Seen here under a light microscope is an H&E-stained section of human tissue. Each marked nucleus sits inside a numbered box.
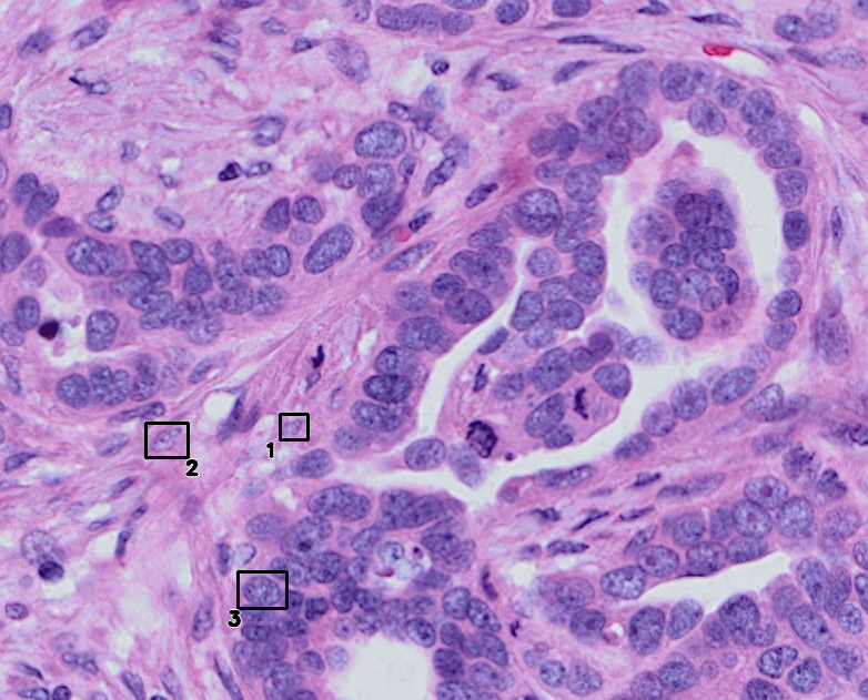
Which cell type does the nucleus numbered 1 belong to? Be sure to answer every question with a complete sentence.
Of the numbered cells, the one labelled 1 is a fibroblast.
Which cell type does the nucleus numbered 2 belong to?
The cell identified by number 2 is a fibroblast.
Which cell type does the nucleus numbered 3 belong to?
Cell 3 in the field is a carcinoma cell.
